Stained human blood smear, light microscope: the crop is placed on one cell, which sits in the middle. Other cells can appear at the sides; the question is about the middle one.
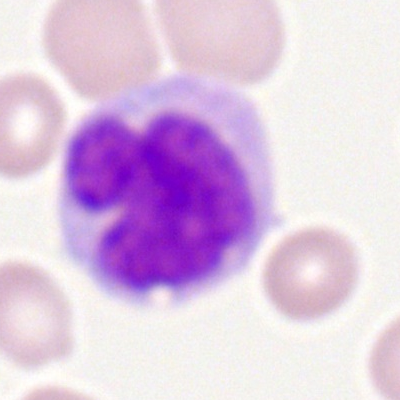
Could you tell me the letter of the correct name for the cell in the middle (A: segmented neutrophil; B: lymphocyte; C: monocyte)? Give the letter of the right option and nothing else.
C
